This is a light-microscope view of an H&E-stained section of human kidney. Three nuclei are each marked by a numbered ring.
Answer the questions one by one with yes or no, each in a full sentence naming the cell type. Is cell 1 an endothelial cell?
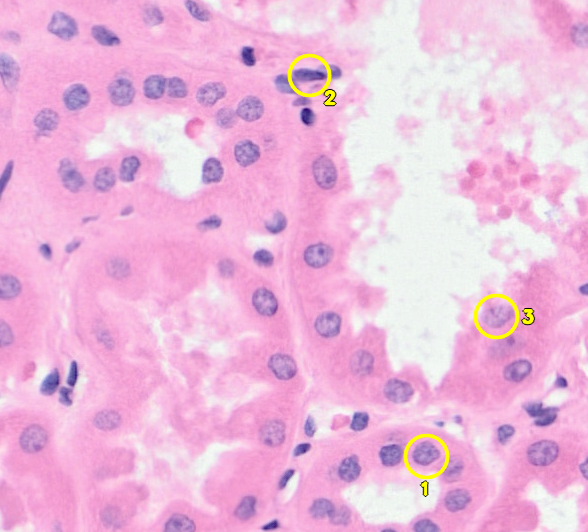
No, cell 1 is a loop of Henle or distal tubule cell, not an endothelial cell.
